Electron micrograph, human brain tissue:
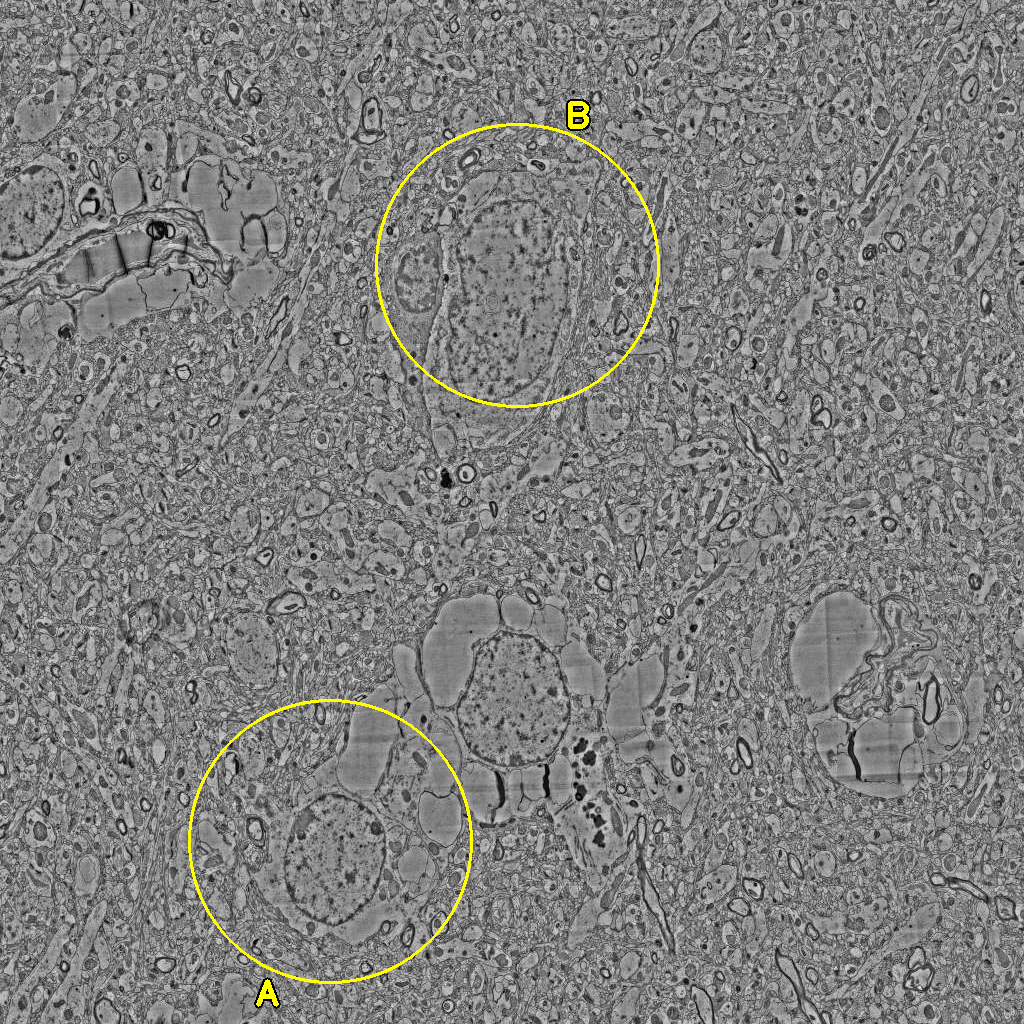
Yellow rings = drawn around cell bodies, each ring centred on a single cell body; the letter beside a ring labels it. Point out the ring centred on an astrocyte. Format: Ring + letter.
Ring A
